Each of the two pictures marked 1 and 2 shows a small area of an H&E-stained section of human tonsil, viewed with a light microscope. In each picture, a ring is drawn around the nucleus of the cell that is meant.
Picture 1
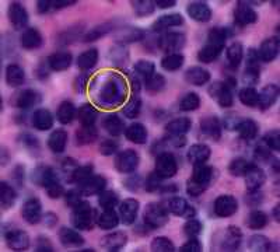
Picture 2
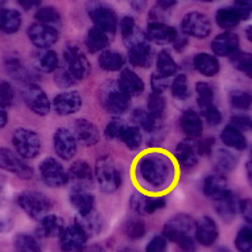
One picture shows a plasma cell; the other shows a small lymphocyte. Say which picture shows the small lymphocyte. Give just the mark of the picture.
1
